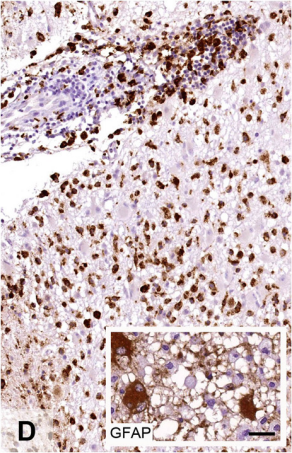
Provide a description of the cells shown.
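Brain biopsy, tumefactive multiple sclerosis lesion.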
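Many brown rounded cells crowd around the vessel at the top and are scattered diffusely through the paler tissue below, while the inset shows a few large brown star-shaped cells with processes amid vacuolated tissue. These are macrophages around the blood vessels and in the neural parenchyma, with stellate astrocytes among them.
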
